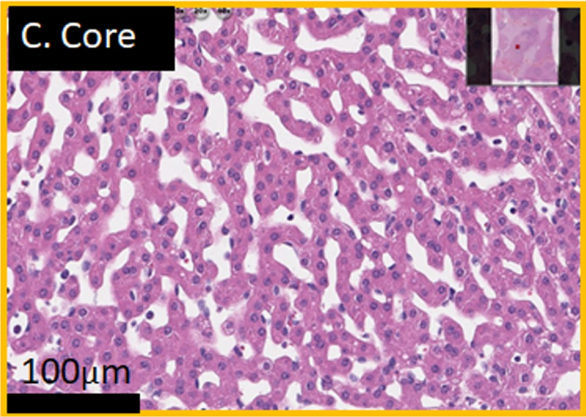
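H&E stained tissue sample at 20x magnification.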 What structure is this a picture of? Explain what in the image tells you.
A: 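Sinusoids. Wide white channels separate narrow cords of pink cells. The cells in the cords keep round nuclei.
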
